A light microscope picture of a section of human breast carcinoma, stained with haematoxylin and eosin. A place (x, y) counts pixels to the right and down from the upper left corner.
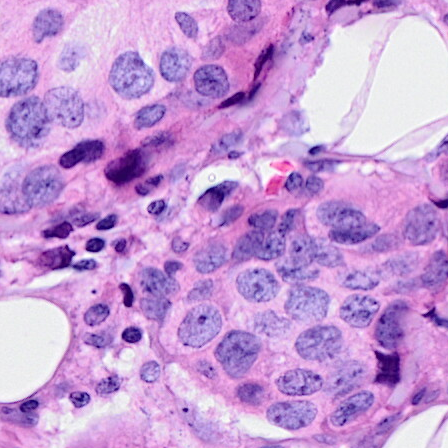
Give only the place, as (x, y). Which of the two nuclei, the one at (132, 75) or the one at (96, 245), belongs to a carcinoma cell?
(132, 75)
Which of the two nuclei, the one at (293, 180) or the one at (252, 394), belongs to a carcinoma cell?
(252, 394)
